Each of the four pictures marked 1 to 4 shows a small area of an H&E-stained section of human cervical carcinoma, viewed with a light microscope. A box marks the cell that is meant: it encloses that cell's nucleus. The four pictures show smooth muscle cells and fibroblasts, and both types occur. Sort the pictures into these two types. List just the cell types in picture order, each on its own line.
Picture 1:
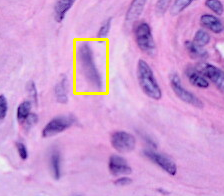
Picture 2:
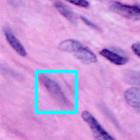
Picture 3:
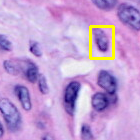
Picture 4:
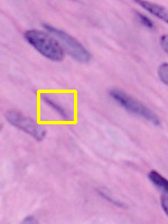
fibroblast
fibroblast
smooth muscle cell
fibroblast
